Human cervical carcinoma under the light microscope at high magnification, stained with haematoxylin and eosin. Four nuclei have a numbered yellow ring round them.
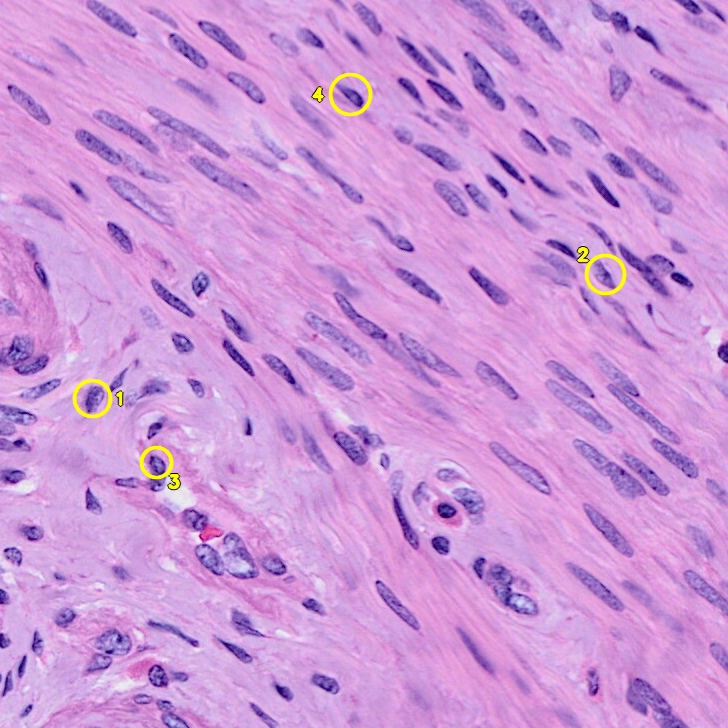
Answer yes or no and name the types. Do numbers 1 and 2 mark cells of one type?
Yes, both are fibroblasts.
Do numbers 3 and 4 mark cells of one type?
No, cell 3 is an endothelial cell and cell 4 is a fibroblast.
